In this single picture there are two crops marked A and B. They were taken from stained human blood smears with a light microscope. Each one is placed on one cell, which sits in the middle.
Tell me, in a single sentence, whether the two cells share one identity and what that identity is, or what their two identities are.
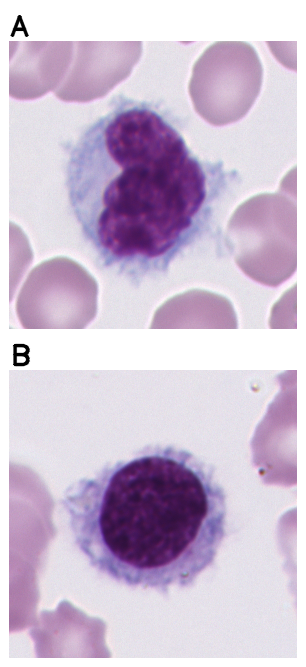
Yes, hairy cells are centred in both crops.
